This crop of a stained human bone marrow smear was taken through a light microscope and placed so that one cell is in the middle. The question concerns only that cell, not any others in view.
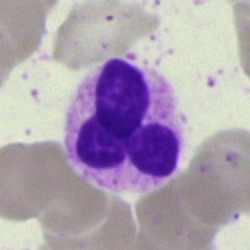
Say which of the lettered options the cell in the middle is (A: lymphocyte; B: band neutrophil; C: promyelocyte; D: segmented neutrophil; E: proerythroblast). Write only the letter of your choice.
D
